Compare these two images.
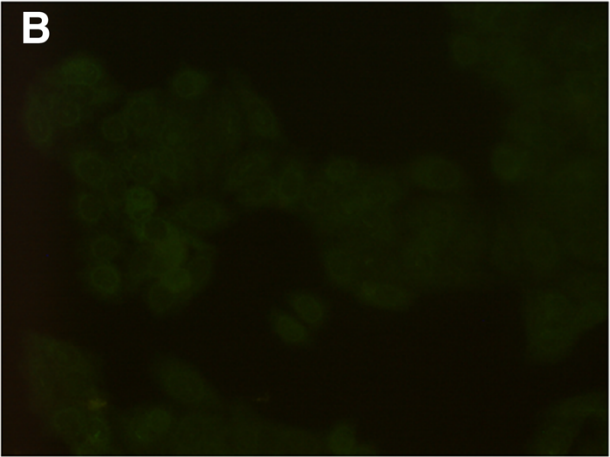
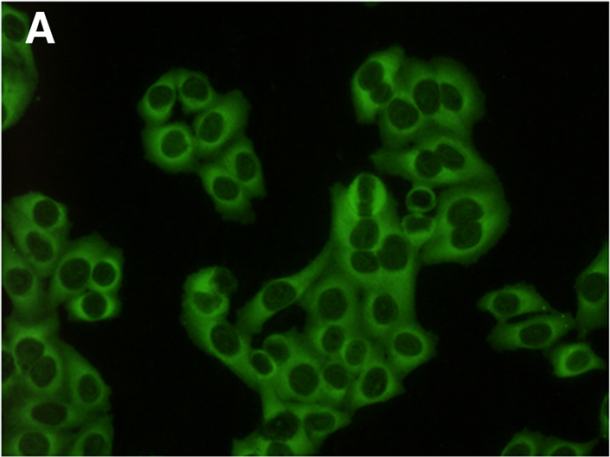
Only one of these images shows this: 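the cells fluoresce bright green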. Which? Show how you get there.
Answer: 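First image: cell outlines are only faintly visible against a dark background. Second image: cell bodies glow bright green around dark nuclei. The answer: the second image.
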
